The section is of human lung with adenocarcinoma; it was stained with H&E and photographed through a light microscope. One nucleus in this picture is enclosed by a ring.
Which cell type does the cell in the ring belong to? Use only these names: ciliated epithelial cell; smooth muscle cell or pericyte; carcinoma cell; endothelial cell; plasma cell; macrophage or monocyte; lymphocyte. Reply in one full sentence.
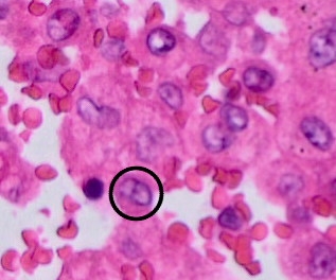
The correct response here is that the cell in the ring is a macrophage or monocyte.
